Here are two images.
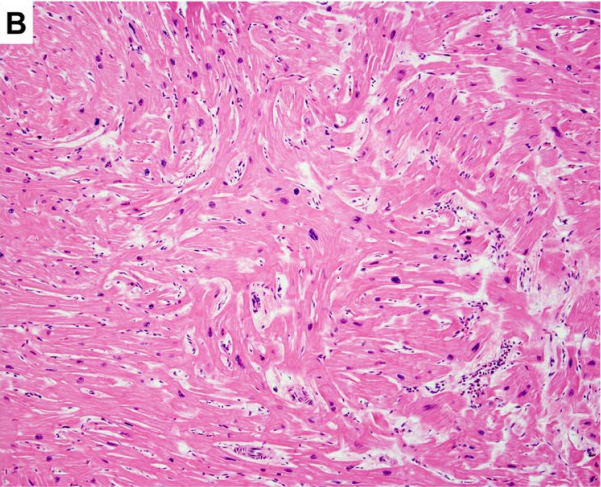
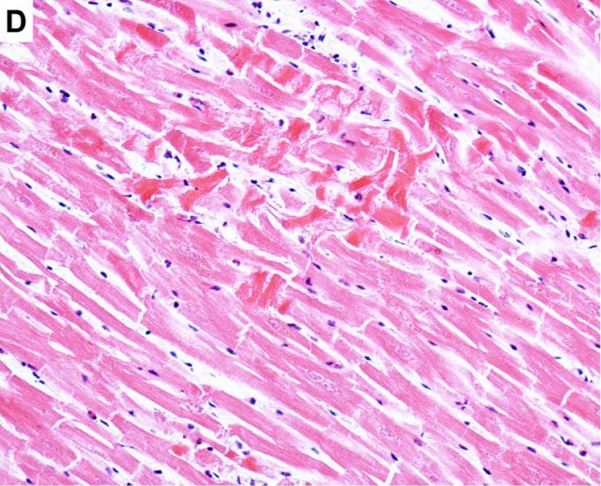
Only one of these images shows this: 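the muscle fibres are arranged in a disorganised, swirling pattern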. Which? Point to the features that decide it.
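Second image: the muscle fibres lie parallel in one direction. First image: the muscle fibres and their bundles run in many directions and form whorls.
Conclusion: the first image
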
